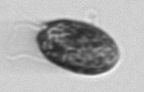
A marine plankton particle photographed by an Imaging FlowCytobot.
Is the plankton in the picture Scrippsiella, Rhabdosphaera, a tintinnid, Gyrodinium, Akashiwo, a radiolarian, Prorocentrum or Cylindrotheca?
It is Prorocentrum.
